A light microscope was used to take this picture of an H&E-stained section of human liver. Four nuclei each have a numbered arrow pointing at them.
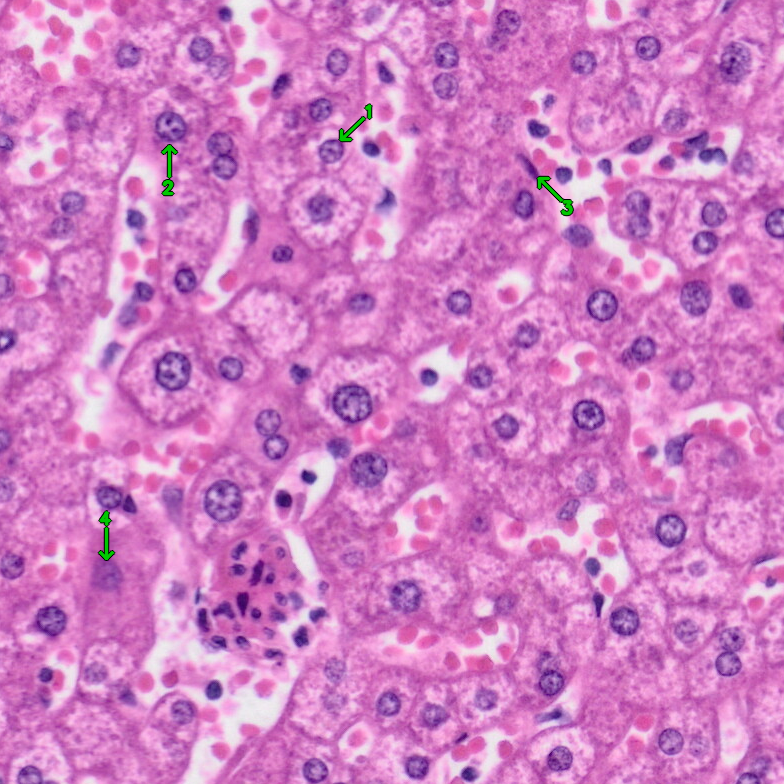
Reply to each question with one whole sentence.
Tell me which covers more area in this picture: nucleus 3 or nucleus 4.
Nucleus 4 covers more area, about 2.5 times as much as nucleus 3.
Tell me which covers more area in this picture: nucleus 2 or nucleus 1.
At about 1.5 times the area of nucleus 1, nucleus 2 is the larger of the two.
